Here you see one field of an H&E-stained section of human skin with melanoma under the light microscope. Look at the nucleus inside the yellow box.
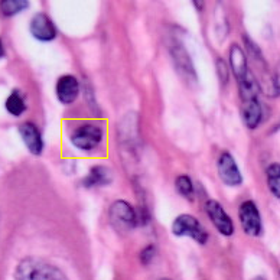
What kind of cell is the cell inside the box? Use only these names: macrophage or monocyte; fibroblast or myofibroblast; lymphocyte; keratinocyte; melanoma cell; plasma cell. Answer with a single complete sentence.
The cell meant here is a plasma cell.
